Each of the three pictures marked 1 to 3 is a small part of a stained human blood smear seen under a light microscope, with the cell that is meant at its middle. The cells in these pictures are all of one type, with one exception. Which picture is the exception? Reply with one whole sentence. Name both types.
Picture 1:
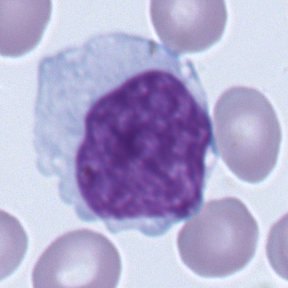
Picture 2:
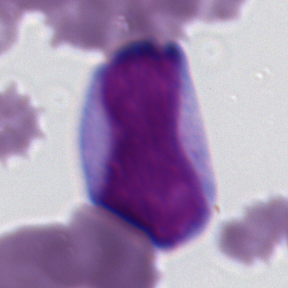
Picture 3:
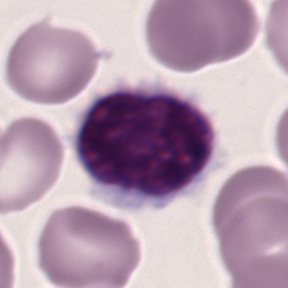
The others show myeloblasts, but picture 3 shows a hairy cell.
